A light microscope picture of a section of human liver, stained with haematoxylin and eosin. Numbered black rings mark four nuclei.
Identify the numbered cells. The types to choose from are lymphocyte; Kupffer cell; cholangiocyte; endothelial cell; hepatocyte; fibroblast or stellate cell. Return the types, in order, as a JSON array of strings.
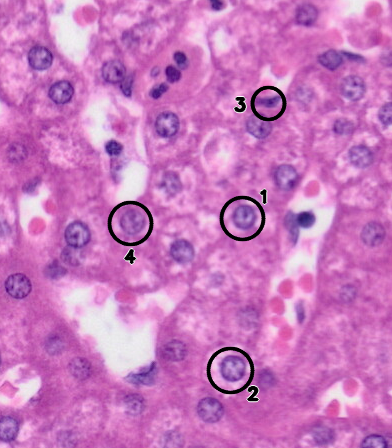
["hepatocyte", "hepatocyte", "endothelial cell", "hepatocyte"]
